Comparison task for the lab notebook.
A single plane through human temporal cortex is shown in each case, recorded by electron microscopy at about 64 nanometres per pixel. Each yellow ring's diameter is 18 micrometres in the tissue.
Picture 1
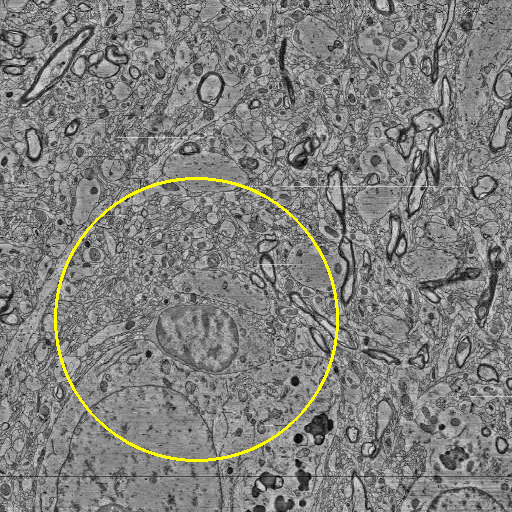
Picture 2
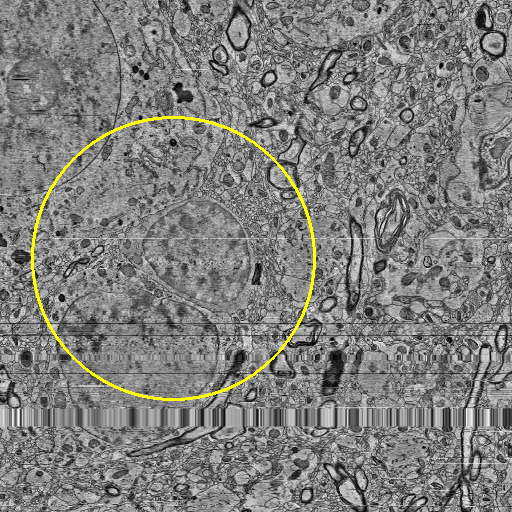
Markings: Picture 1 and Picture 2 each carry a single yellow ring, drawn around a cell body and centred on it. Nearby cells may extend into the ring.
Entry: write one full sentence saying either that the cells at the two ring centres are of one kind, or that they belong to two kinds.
The cells sitting at the ring centres in Picture 1 and Picture 2 are of one kind.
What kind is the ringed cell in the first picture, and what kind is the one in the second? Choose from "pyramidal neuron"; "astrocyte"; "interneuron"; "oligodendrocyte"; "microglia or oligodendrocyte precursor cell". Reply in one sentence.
Both pictures show an oligodendrocyte at the centre of the ring.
